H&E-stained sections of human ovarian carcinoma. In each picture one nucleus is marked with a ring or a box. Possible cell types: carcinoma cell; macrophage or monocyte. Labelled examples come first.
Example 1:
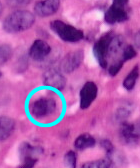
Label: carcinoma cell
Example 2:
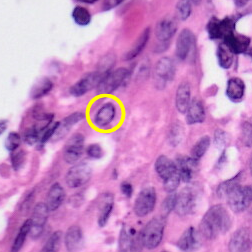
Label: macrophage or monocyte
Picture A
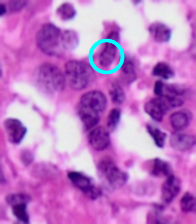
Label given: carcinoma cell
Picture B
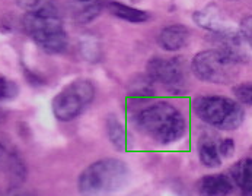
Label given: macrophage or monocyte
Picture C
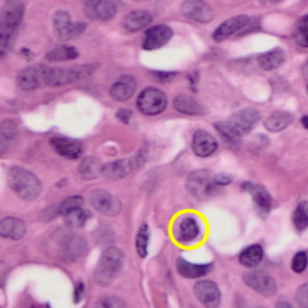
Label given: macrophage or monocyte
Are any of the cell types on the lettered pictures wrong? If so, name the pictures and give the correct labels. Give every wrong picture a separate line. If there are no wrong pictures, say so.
B is labelled macrophage or monocyte; correct label: carcinoma cell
